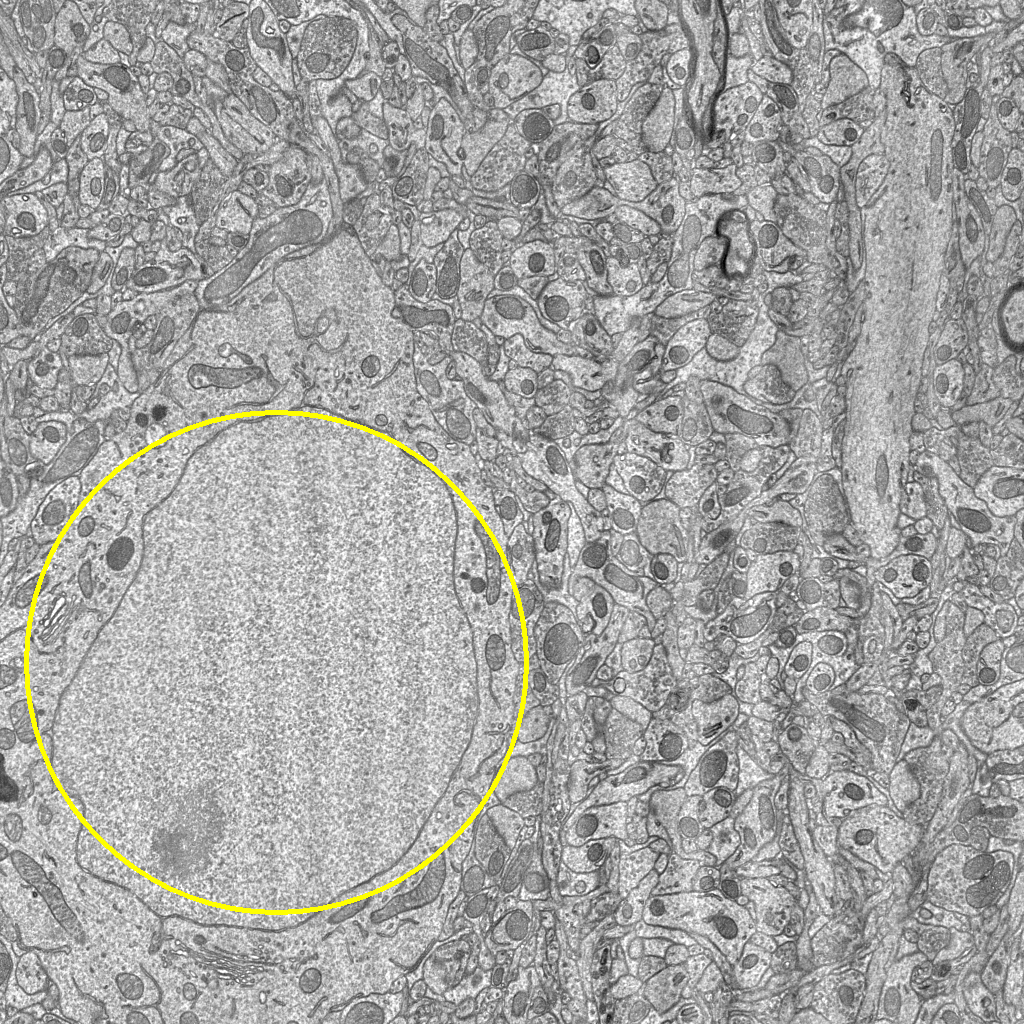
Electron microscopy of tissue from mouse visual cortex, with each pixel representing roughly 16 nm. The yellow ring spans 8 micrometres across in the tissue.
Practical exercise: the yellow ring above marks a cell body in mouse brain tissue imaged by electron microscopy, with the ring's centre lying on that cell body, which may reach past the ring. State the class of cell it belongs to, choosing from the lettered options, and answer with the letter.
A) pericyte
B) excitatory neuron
B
